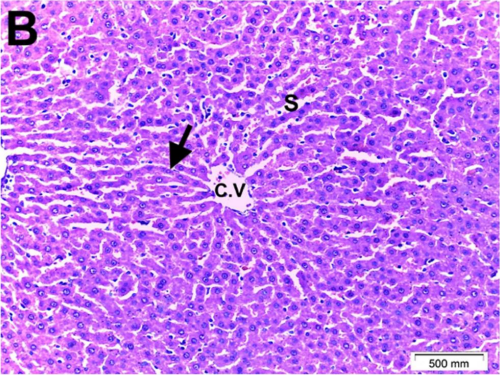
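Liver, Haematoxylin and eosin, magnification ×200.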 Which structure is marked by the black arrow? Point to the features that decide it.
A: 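Cords of eosinophilic hepatocytes. The arrow lies along a row of pink cells running toward the central vessel. Rows of cells radiate from the vessel, separated by narrow clear channels.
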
